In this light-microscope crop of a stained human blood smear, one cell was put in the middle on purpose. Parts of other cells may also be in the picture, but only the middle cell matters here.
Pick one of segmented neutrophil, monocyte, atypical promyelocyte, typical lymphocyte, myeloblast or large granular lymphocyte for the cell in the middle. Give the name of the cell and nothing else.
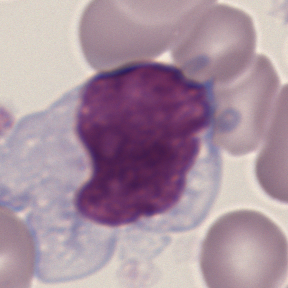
monocyte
